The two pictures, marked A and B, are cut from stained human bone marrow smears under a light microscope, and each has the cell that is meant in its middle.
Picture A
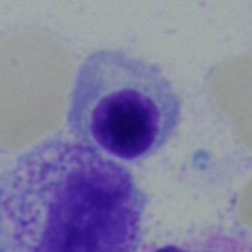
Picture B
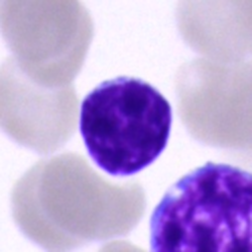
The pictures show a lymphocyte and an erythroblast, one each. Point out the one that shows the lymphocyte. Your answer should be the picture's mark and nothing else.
B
